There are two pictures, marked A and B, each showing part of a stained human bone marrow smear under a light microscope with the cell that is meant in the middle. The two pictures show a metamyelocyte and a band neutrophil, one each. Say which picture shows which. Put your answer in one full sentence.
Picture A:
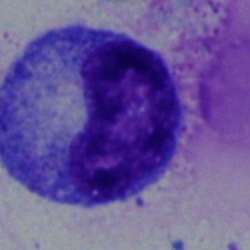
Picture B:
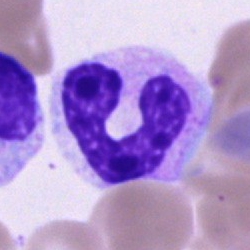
Picture A shows a metamyelocyte and picture B shows a band neutrophil.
